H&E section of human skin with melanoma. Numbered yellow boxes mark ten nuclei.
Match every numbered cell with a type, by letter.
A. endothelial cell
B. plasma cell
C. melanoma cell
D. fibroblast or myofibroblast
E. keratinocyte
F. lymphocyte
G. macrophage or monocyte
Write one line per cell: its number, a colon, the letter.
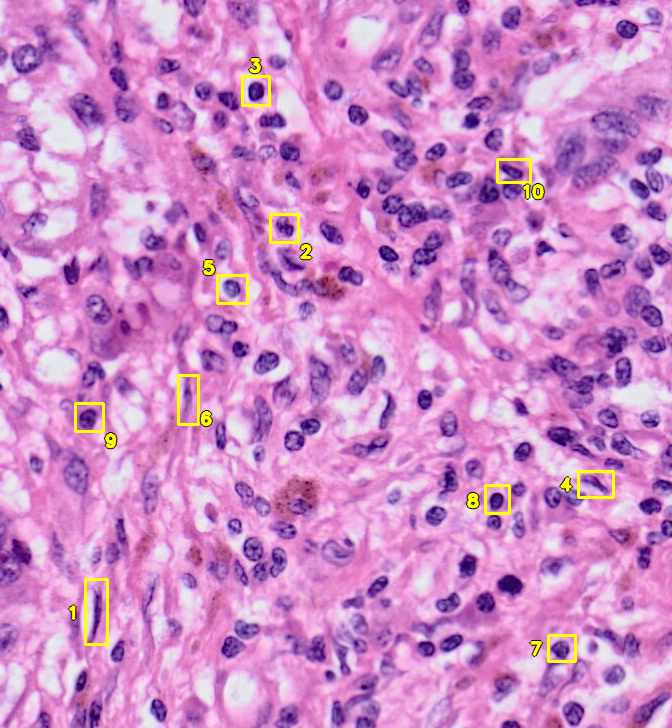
1: D
2: F
3: F
4: D
5: F
6: D
7: F
8: F
9: B
10: B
